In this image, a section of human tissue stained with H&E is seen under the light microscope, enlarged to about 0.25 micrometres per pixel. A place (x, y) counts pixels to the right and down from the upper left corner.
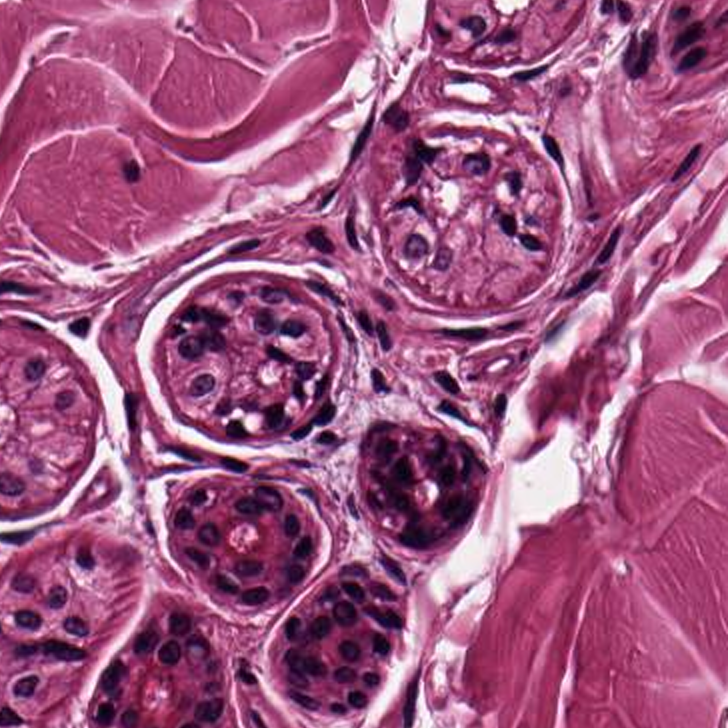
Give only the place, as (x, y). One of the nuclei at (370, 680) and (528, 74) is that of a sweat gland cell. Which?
(370, 680)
